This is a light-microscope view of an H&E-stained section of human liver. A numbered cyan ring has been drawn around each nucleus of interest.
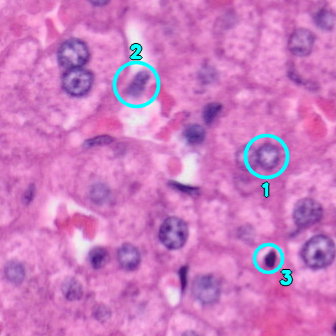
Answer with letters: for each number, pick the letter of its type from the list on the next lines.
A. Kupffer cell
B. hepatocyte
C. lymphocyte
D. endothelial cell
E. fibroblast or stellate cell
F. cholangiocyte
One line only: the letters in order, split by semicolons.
B; A; C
